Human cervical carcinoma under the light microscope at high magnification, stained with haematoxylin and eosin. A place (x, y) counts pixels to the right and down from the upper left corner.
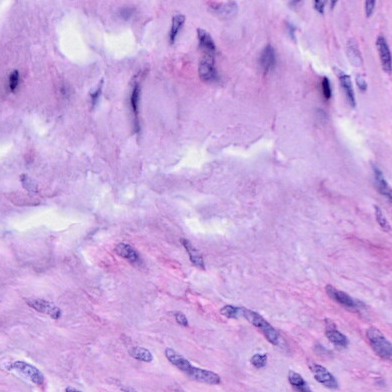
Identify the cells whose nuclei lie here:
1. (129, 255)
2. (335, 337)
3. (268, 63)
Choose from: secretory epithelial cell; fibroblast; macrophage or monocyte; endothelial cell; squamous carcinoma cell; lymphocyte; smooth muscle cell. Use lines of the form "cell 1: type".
cell 1: smooth muscle cell
cell 2: smooth muscle cell
cell 3: fibroblast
